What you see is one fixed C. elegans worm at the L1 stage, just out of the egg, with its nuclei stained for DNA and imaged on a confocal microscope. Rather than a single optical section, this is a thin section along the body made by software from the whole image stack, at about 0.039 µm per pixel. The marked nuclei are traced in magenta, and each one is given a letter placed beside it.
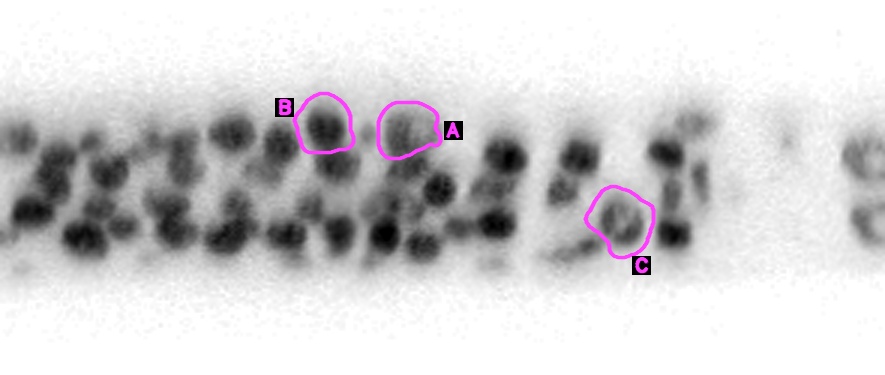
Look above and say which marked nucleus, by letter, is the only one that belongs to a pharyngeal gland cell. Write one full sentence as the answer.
C is from a pharyngeal gland cell.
